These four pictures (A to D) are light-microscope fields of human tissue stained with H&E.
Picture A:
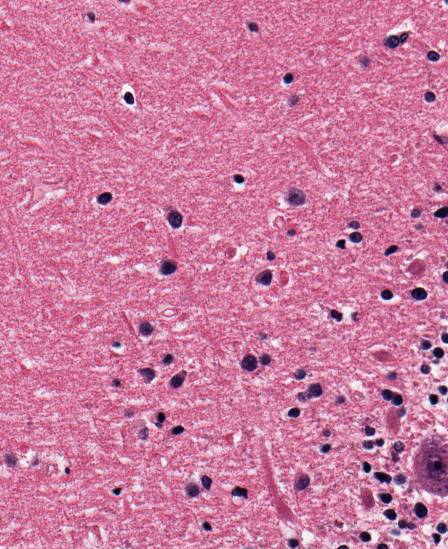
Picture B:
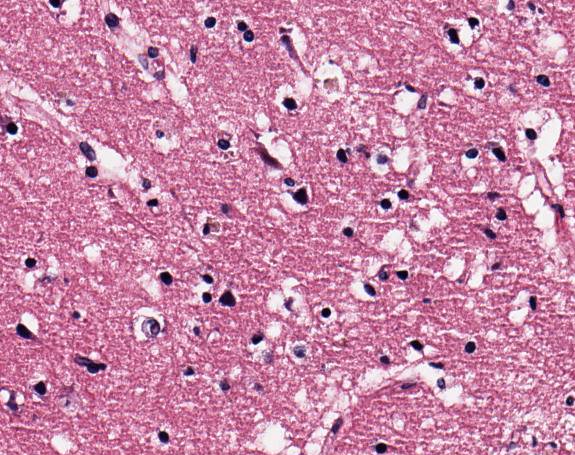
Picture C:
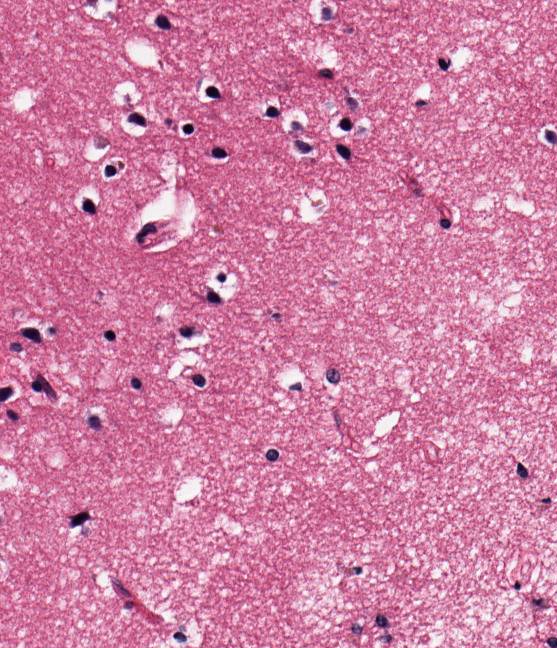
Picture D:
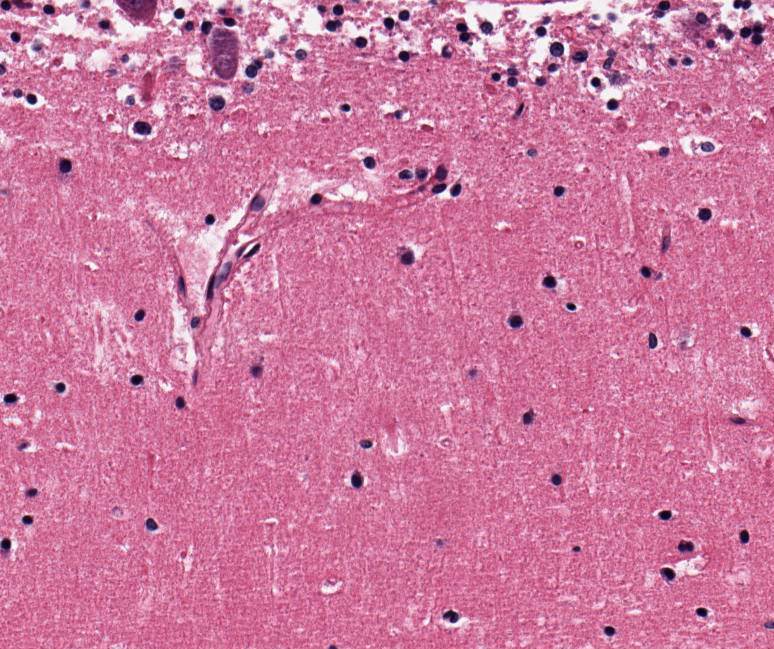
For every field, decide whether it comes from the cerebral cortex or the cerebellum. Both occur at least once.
A: cerebellum
B: cerebral cortex
C: cerebral cortex
D: cerebellum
